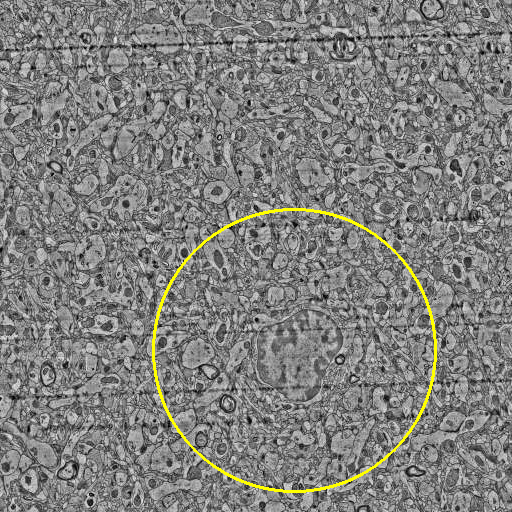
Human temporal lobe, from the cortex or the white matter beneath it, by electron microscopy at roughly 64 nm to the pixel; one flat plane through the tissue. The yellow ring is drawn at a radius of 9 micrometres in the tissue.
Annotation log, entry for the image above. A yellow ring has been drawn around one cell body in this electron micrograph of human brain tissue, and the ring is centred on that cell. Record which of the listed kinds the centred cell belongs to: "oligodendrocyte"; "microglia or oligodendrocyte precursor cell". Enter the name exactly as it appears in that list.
microglia or oligodendrocyte precursor cell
